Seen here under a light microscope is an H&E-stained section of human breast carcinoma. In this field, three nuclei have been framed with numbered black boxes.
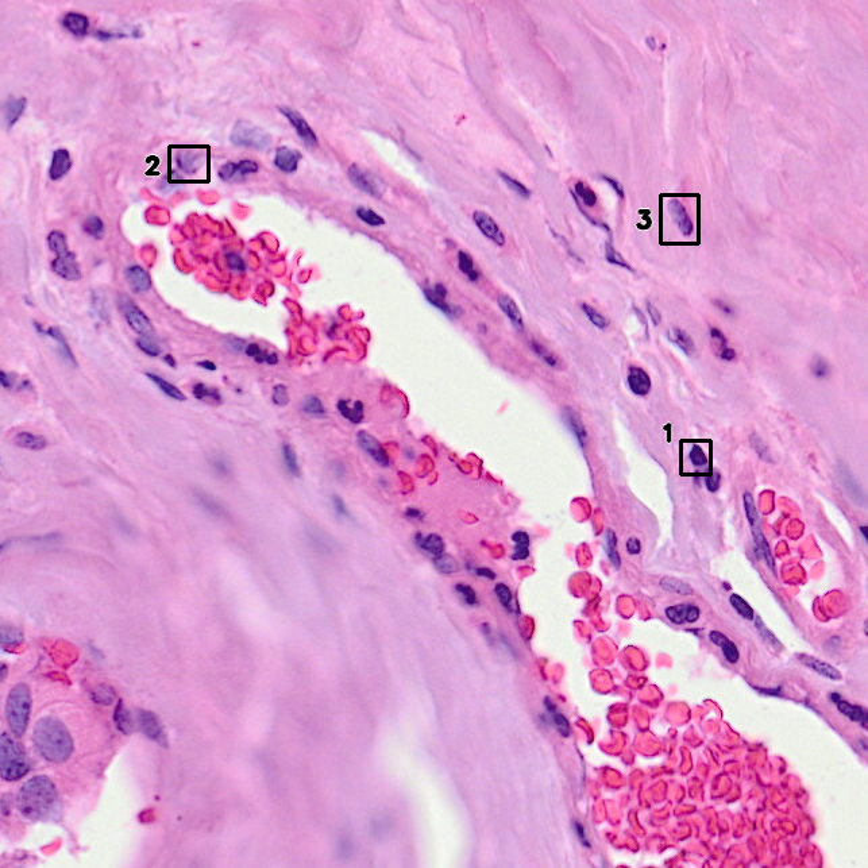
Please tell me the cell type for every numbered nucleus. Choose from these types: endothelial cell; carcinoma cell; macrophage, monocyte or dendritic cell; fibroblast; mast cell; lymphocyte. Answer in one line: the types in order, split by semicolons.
lymphocyte; endothelial cell; fibroblast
